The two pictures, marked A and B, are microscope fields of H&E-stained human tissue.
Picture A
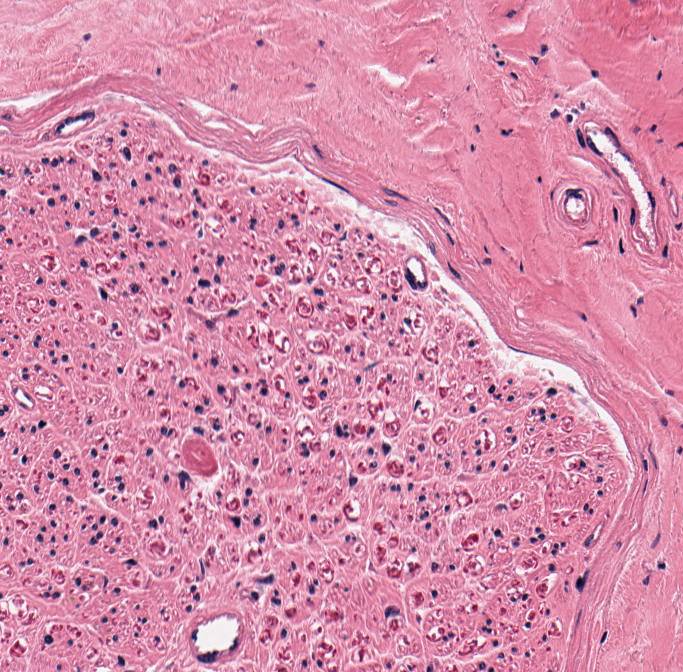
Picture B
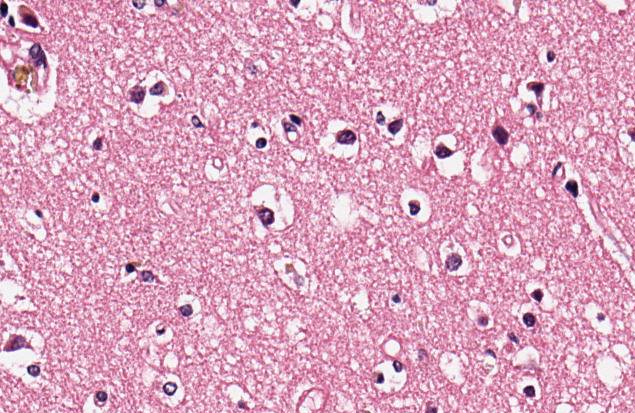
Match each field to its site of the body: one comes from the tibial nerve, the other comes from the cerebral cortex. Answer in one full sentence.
Picture B comes from the cerebral cortex, while picture A comes from the tibial nerve.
